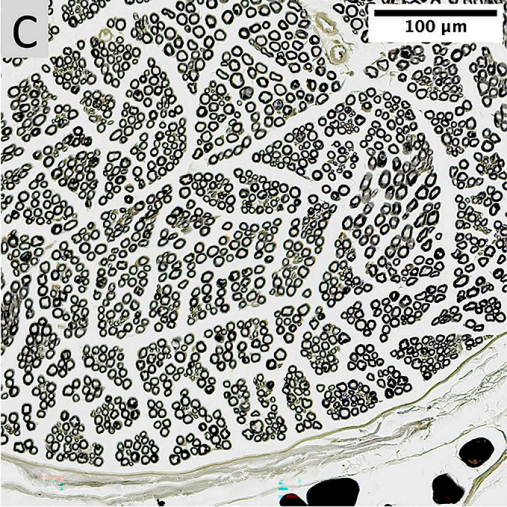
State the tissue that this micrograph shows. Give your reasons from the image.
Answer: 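Round dark rings with pale centres fill the field. A layered sheath runs along the lower edge. That points to this answer: Nerve.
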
